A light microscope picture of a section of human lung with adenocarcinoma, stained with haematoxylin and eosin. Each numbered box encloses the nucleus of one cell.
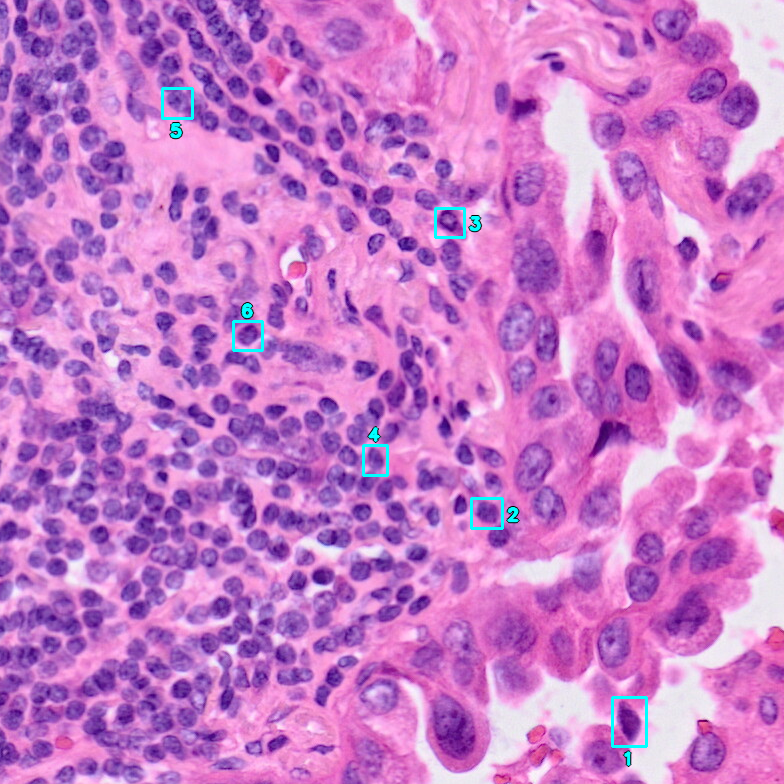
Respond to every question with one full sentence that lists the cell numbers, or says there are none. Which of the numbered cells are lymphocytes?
Within the section, cells numbered 2, 4 and 5 are lymphocytes.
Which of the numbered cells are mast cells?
Answering directly: no mast cells are among the numbered cells.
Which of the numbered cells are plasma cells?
Within this tissue, the cells numbered 3 and 6 are plasma cells.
